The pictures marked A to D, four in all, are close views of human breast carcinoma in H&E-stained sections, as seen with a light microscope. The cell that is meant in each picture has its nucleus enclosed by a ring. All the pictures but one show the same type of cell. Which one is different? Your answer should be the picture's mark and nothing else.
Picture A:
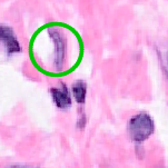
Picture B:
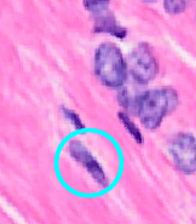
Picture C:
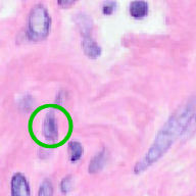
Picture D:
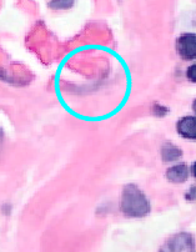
B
